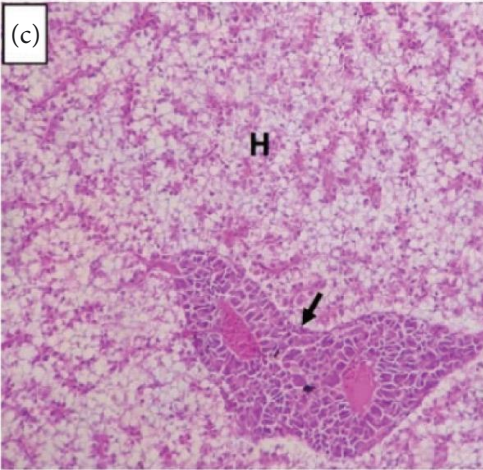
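Fish liver with hepatocytes and a large island of pancreatic tissue. A large irregular mass of deep pink pancreatic cells lies in the lower middle of the field. This mass encloses vessels holding pink, homogeneous content. The pancreatic cells are closely packed and far more strongly stained than the surrounding hepatocytes.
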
